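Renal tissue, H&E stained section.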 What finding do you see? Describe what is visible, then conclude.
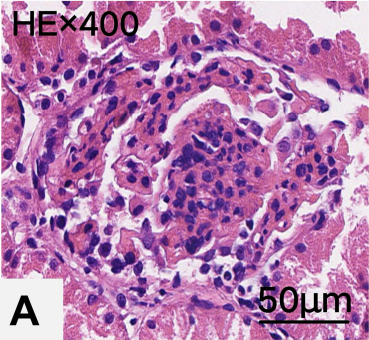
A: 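A glomerular tuft is crowded with many dark nuclei. Capillary lumens in the tuft are largely obscured by cells.
Conclusion: glomerular inflammation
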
